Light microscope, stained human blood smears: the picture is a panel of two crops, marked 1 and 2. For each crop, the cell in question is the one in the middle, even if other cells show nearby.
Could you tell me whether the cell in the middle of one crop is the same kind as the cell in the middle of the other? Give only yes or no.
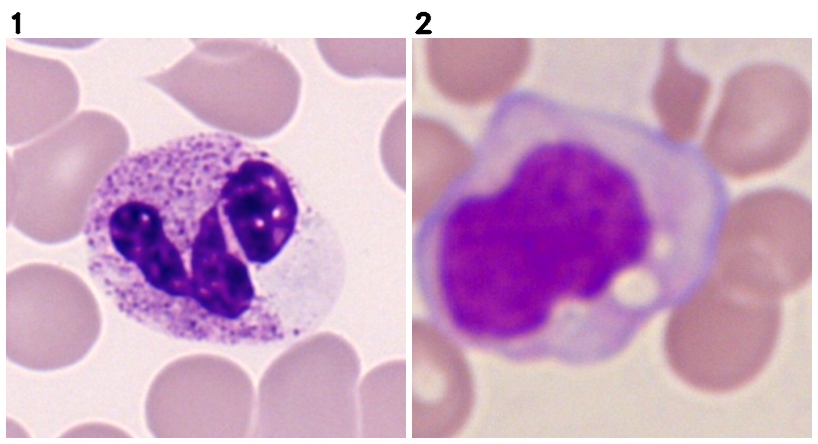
no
